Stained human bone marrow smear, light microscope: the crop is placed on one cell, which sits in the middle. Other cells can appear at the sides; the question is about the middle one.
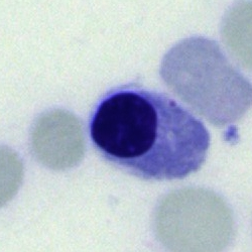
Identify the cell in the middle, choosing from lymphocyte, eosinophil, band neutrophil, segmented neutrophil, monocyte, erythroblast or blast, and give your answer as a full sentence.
The cell centred in this crop is categorized as an erythroblast.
